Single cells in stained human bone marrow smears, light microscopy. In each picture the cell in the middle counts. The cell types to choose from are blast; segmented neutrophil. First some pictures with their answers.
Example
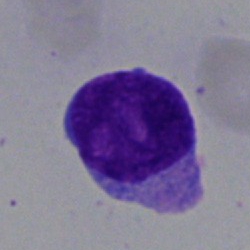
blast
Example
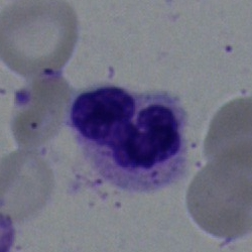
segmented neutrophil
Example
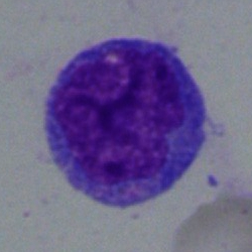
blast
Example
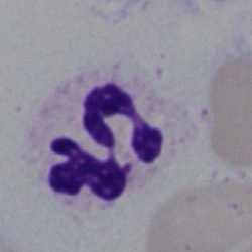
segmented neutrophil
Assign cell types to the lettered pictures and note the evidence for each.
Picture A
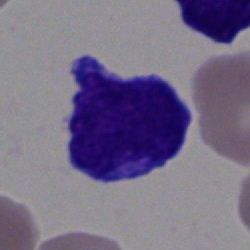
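blast. Reason: Cytoplasm is scarcely visible, with the nucleus filling almost the whole cell.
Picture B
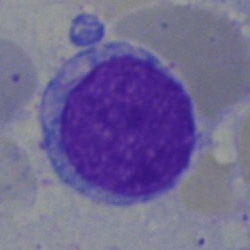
blast. Reason: The cytoplasm forms a narrow rim that is widest on the left side.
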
